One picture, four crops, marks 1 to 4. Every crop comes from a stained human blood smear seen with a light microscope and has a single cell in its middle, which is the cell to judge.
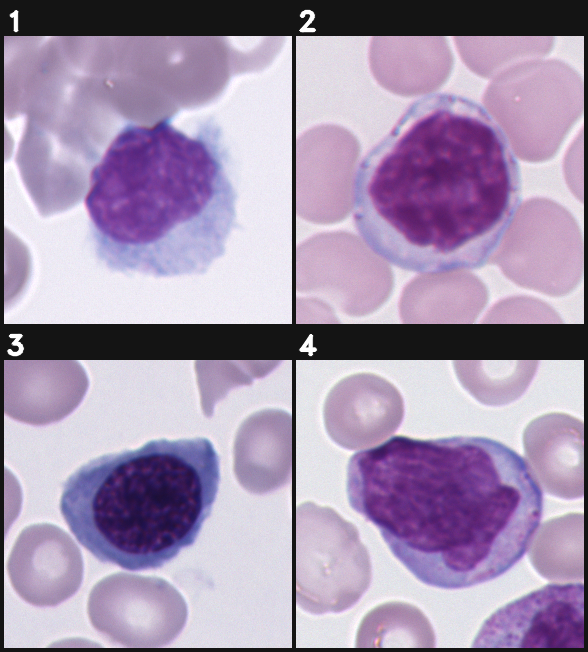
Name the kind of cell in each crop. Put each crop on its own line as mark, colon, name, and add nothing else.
1: hairy cell
2: large granular lymphocyte
3: normoblast
4: atypical promyelocyte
